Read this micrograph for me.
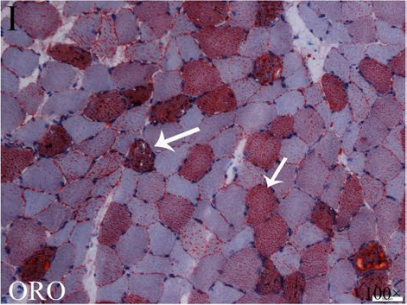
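Many fibres are filled with fine red droplets, some so densely that they appear deep red, while other fibres are pale bluish-grey with few droplets. A few fibres contain holes ringed and filled with red material. Small blue nuclei sit at the fibre margins.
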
